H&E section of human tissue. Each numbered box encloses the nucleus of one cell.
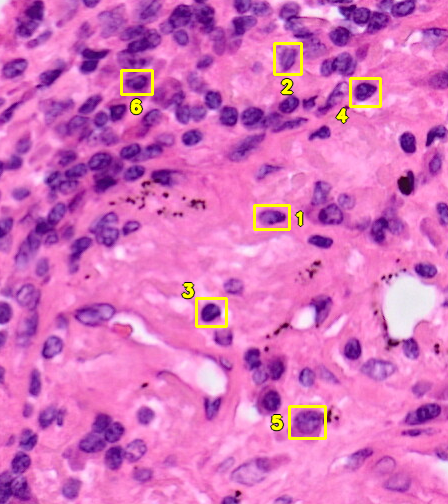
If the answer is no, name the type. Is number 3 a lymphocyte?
Yes.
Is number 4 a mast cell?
No, it is a lymphocyte.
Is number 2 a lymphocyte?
Yes.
